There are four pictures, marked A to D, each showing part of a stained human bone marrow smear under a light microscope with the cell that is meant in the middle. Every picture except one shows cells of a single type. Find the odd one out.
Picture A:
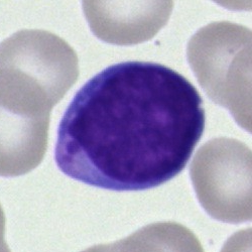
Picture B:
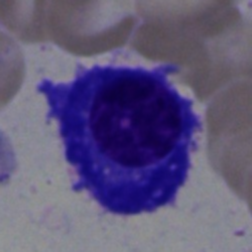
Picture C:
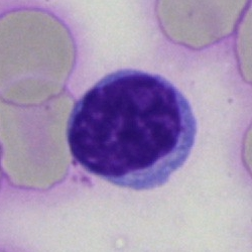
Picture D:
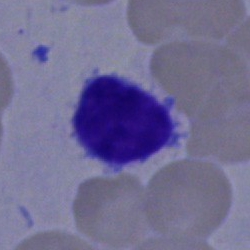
B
